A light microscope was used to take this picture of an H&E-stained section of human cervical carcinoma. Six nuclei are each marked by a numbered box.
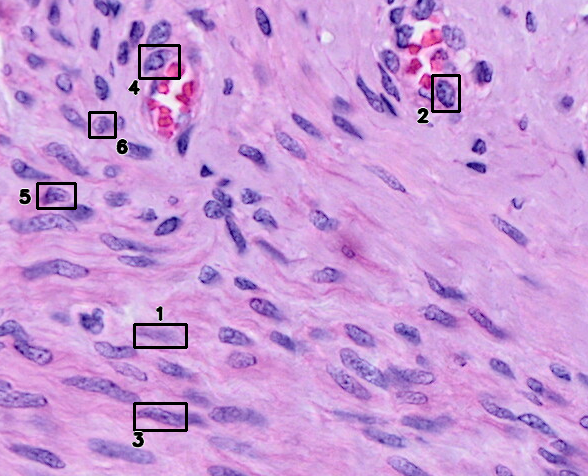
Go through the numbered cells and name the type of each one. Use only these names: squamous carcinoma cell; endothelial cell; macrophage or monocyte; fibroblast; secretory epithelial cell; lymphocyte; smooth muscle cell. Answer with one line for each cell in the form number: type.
1: smooth muscle cell
2: endothelial cell
3: smooth muscle cell
4: endothelial cell
5: smooth muscle cell
6: smooth muscle cell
